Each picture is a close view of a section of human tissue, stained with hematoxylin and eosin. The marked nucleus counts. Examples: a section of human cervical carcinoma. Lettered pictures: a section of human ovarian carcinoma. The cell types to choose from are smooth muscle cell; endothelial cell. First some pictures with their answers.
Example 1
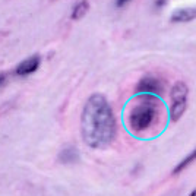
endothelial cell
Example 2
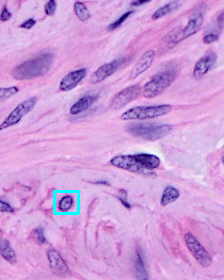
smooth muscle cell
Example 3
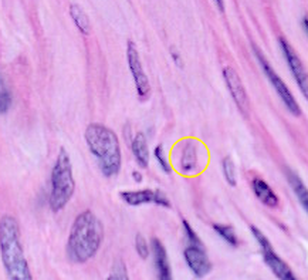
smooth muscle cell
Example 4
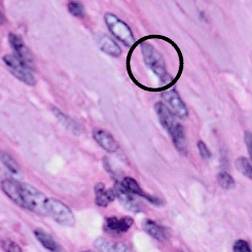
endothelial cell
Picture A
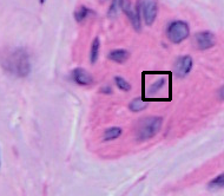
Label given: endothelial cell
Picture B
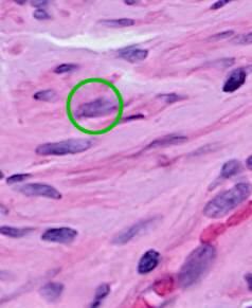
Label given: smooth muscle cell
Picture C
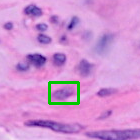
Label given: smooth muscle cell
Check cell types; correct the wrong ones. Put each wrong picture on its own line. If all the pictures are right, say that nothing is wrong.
A: smooth muscle cell, not endothelial cell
